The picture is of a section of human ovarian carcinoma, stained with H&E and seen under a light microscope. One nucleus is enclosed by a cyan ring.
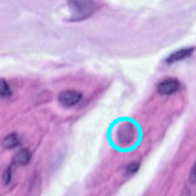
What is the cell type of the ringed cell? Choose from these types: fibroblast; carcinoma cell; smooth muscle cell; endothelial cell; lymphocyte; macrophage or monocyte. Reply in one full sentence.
The cell type represented by the ringed cell is that of a smooth muscle cell.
